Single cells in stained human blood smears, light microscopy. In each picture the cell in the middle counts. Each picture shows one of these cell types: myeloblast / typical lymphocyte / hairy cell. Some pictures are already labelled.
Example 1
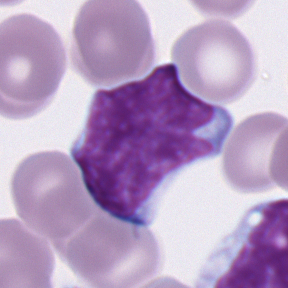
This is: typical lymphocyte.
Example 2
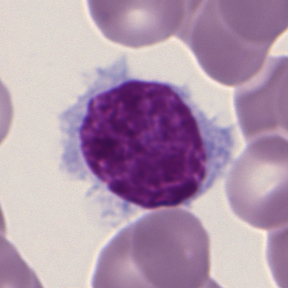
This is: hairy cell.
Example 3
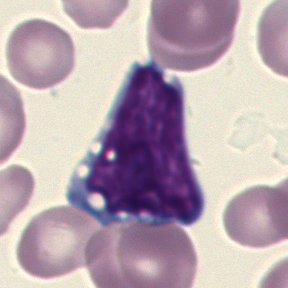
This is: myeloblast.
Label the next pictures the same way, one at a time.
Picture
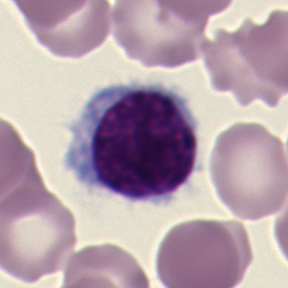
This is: hairy cell.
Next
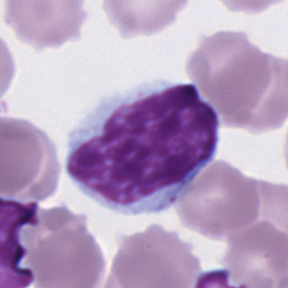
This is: typical lymphocyte.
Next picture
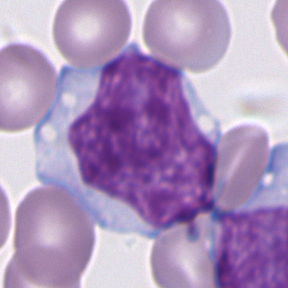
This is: myeloblast.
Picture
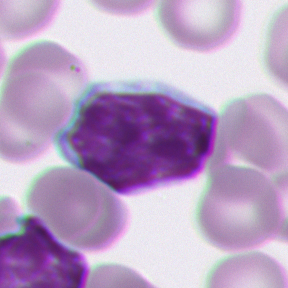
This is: typical lymphocyte.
